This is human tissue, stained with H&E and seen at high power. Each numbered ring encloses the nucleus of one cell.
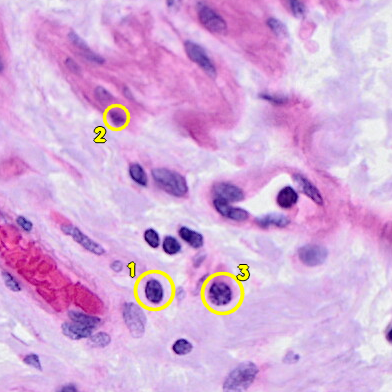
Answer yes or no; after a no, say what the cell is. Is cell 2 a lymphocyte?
No, it is a smooth muscle cell.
